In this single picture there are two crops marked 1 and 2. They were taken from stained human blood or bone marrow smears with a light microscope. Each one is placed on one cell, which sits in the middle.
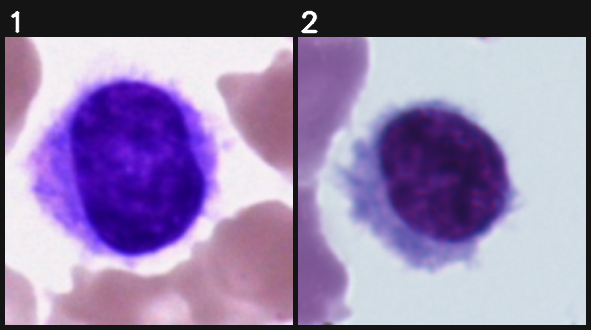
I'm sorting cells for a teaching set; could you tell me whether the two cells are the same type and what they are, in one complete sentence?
Yes, the two crops show hairy cells, one cell each.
